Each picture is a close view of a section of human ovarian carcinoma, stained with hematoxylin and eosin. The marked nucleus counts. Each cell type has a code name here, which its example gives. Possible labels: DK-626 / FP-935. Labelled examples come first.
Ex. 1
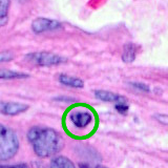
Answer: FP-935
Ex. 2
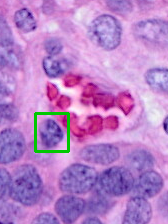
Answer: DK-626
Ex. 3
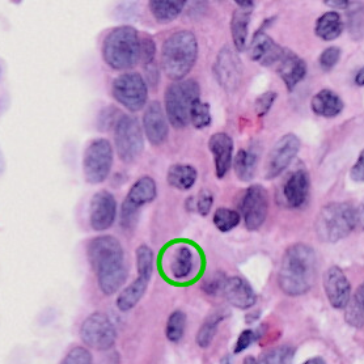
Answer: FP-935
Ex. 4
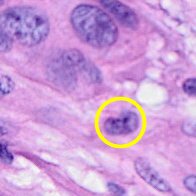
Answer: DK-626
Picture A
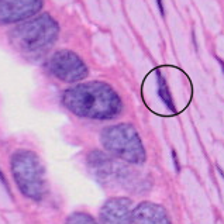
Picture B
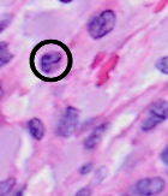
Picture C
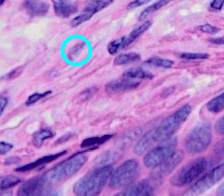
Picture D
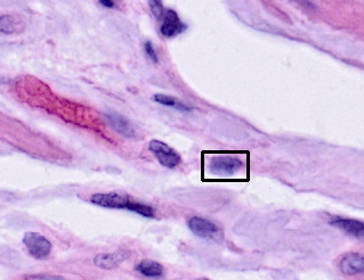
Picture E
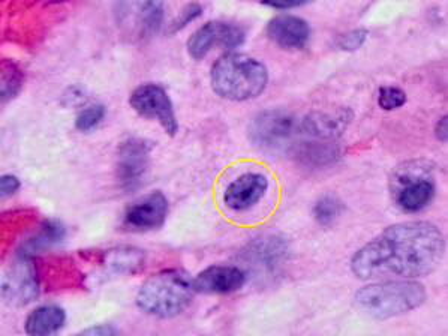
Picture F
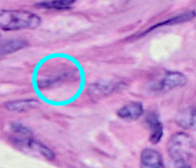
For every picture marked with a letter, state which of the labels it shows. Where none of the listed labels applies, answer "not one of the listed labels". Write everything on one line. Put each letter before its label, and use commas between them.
A not one of the listed labels, B FP-935, C not one of the listed labels, D DK-626, E FP-935, F not one of the listed labels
